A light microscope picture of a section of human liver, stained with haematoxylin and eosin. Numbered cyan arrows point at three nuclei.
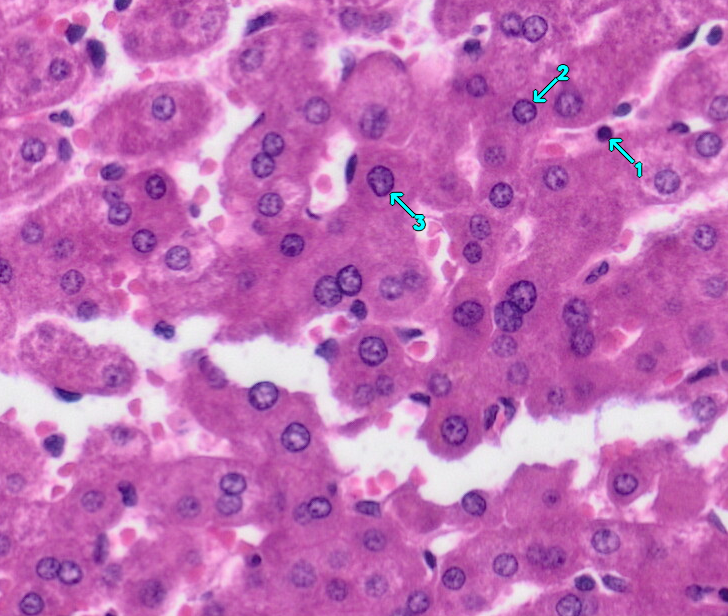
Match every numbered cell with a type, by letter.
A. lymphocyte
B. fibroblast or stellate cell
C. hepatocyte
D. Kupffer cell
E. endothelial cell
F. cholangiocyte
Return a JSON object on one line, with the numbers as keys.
{"1": "A", "2": "C", "3": "C"}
